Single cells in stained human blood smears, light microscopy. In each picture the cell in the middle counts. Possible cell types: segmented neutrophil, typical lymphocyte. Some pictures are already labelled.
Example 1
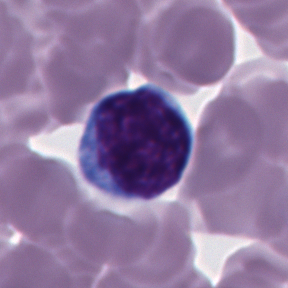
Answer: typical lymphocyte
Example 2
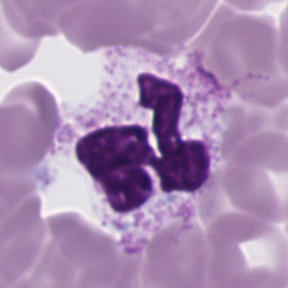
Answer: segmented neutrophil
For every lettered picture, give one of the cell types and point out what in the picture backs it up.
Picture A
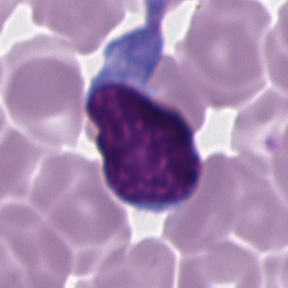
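typical lymphocyte. Around most of the nucleus the cytoplasm is only a thin rim.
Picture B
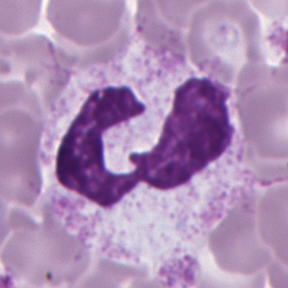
segmented neutrophil. The cytoplasm is abundant and very pale, almost colourless.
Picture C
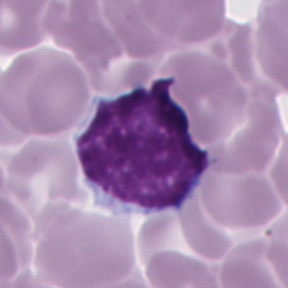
typical lymphocyte. The cytoplasm forms only a very thin rim around the nucleus.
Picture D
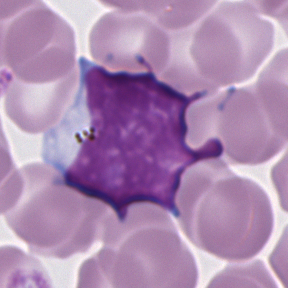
typical lymphocyte. The nucleus fills most of the cell.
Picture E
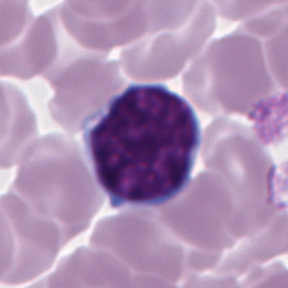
typical lymphocyte. Only a very thin rim of cytoplasm is visible around the nucleus.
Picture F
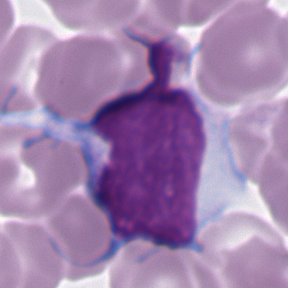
typical lymphocyte. The nucleus fills most of the cell.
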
